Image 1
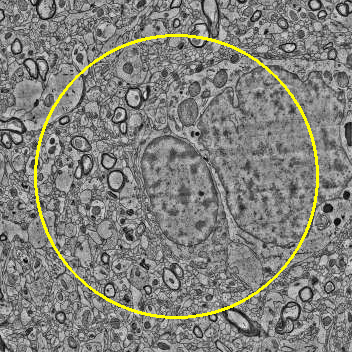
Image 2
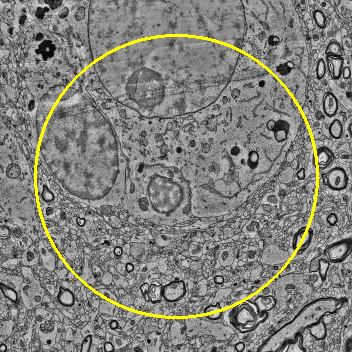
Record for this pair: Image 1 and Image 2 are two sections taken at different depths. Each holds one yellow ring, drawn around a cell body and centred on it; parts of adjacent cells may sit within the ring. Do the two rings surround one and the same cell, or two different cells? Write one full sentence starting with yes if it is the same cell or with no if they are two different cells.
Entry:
No, the cells inside the two rings are not the same cell.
